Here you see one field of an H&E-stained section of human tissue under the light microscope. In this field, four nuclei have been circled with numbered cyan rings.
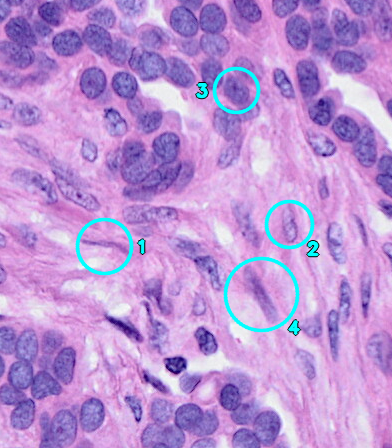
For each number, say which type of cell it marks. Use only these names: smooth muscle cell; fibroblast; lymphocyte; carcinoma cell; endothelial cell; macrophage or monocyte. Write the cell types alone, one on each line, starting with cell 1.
fibroblast
fibroblast
carcinoma cell
fibroblast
